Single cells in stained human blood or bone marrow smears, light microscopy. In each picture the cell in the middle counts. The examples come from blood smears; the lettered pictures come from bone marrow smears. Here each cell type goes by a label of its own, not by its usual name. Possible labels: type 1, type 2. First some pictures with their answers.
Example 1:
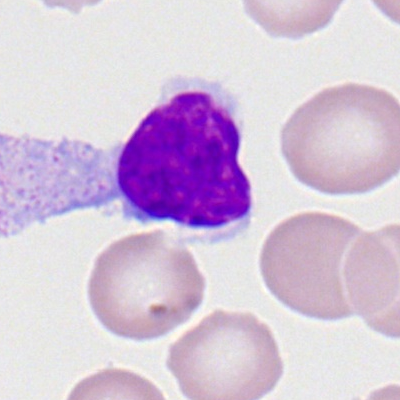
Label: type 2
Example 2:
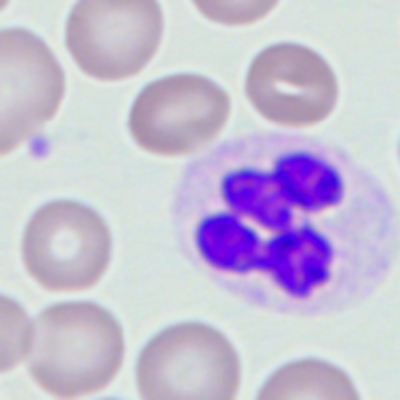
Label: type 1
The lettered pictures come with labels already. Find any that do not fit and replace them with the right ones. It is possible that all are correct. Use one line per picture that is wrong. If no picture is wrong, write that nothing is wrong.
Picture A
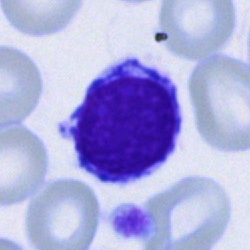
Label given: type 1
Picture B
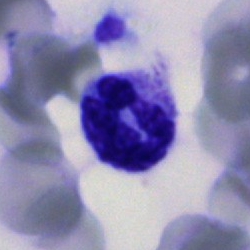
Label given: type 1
A is labelled type 1; correct label: type 2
